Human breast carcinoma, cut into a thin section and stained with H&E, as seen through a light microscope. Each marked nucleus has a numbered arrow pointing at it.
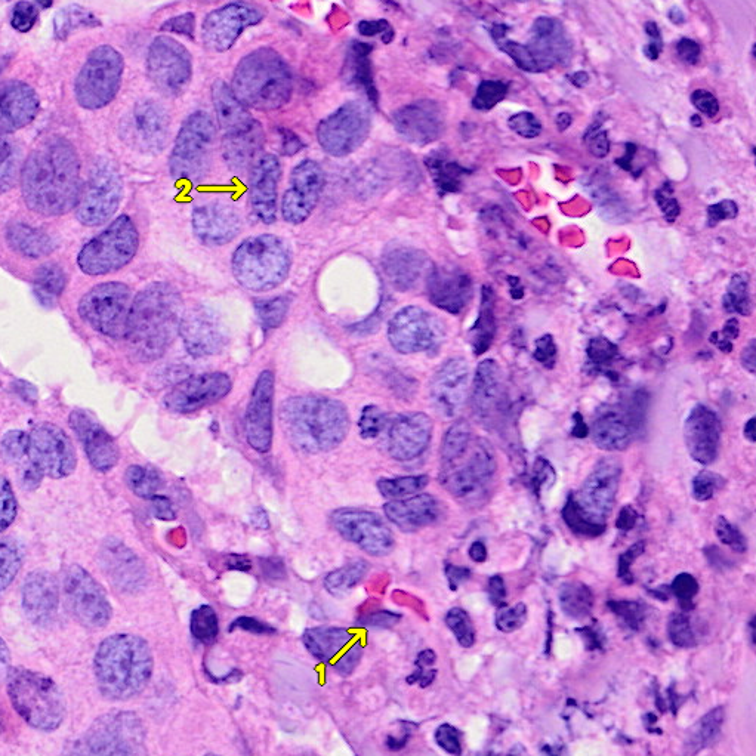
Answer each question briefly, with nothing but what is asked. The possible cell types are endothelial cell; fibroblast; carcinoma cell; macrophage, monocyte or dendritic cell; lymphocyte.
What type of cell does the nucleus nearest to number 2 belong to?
carcinoma cell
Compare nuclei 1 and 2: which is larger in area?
2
